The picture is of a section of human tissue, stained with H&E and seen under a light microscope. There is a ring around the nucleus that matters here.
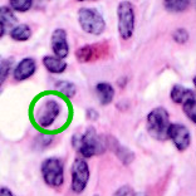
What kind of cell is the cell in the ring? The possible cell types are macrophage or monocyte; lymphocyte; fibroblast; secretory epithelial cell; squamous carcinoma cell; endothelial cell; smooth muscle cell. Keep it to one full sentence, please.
In the tissue at hand, the cell in the ring is a lymphocyte.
